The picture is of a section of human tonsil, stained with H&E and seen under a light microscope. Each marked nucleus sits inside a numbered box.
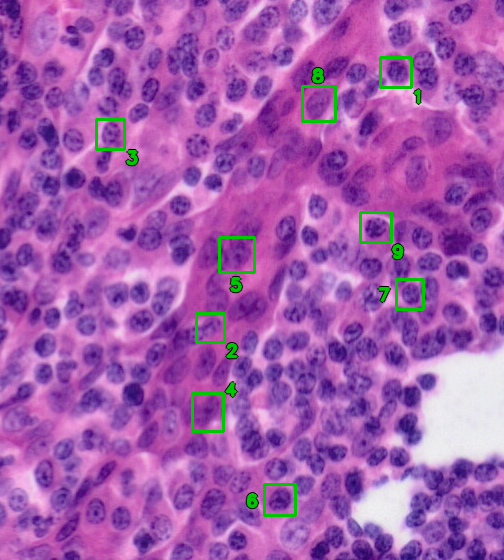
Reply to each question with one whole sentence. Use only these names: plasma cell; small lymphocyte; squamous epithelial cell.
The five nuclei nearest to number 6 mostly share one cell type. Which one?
The majority of the five nuclei closest to number 6 belong to squamous epithelial cells.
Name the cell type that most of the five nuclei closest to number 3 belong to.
Most of the five nuclei nearest to number 3 are those of plasma cells.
